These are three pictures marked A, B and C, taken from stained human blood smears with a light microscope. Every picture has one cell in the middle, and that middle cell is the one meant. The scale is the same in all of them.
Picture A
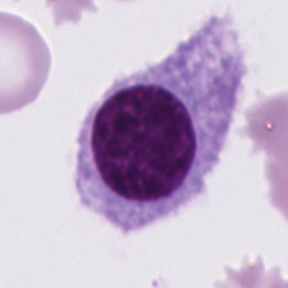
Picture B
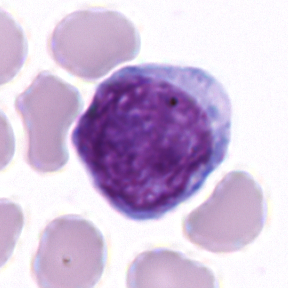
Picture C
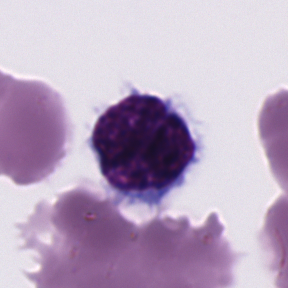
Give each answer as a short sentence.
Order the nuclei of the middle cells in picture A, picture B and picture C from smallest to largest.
Going up, they run C, A, B.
